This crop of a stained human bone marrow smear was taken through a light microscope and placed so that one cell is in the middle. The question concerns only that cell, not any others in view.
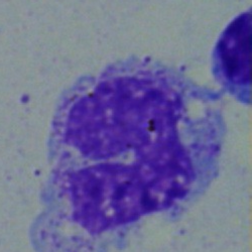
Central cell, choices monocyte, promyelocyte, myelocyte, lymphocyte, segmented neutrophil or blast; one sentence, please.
In short, the cell at the center is a monocyte.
